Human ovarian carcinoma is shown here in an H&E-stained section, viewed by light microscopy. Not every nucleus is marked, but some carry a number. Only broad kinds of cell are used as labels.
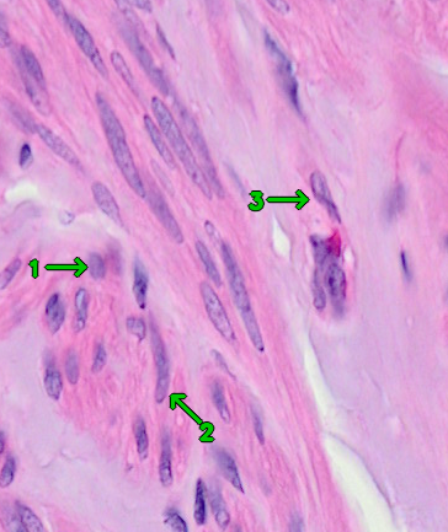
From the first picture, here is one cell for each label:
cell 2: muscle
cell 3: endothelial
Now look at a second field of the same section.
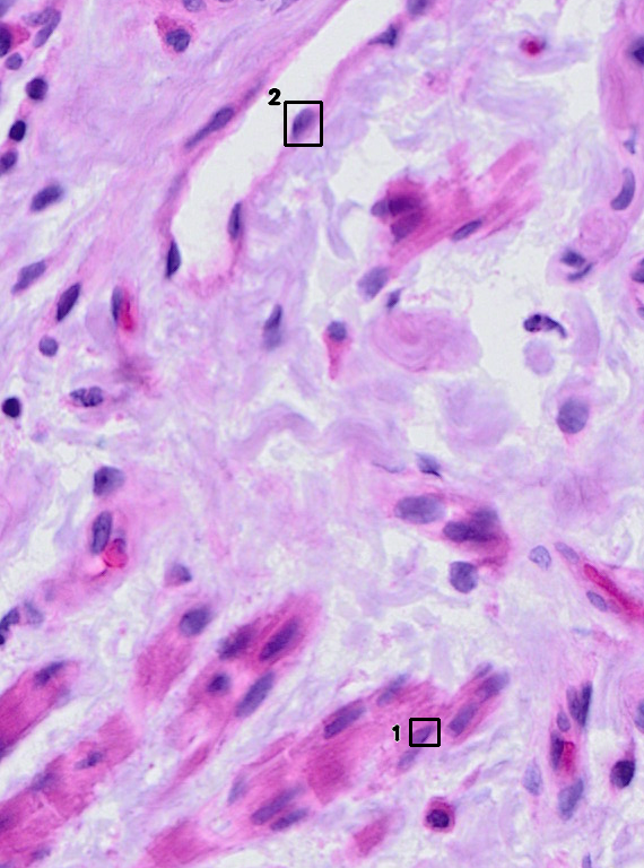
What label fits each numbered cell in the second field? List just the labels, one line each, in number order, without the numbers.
muscle
endothelial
